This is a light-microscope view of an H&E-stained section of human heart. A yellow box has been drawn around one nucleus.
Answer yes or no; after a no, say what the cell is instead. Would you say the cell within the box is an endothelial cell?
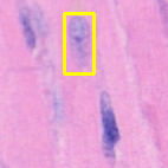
No, it is a cardiomyocyte.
